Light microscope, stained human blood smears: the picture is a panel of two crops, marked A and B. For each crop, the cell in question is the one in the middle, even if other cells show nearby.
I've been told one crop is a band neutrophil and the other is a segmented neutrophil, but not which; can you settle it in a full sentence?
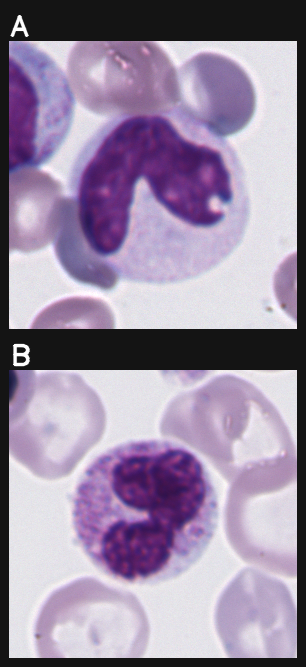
Crop A is a band neutrophil; crop B, on the other hand, is a segmented neutrophil.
